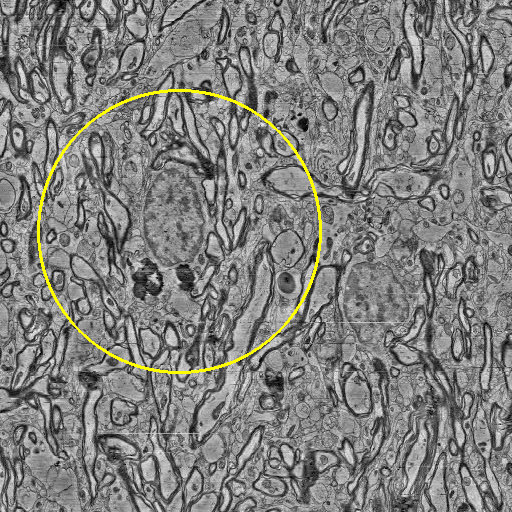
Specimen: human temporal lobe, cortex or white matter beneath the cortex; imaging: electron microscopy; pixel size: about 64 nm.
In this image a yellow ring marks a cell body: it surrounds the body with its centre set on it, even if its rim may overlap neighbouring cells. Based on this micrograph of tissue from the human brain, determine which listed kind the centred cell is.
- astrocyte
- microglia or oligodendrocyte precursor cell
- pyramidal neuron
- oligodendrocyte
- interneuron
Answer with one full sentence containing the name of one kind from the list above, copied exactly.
It is an oligodendrocyte whose body the yellow ring encloses at its centre.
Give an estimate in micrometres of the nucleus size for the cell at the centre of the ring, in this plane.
At approximately 7 by 4 micrometres, the nucleus is clearly longer than it is wide in this plane.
